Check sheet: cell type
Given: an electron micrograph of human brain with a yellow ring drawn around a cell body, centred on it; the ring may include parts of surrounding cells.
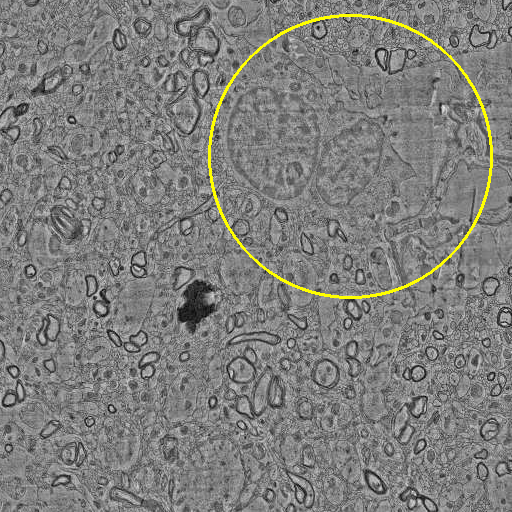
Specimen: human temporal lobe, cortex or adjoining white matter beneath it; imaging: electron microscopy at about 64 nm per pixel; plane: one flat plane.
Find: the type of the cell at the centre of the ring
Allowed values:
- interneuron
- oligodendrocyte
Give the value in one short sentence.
Here the ringed cell is an oligodendrocyte.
